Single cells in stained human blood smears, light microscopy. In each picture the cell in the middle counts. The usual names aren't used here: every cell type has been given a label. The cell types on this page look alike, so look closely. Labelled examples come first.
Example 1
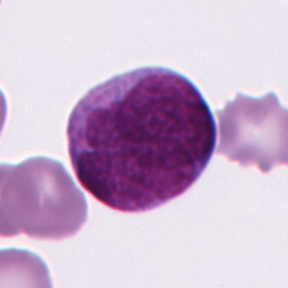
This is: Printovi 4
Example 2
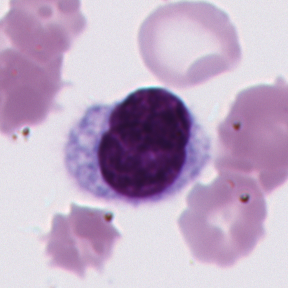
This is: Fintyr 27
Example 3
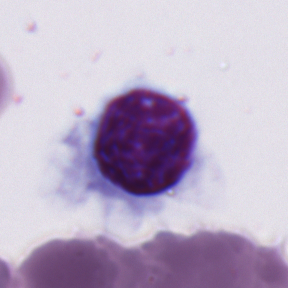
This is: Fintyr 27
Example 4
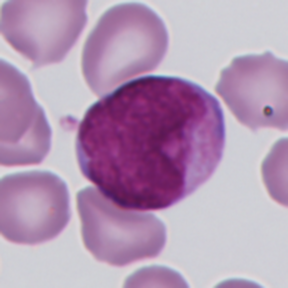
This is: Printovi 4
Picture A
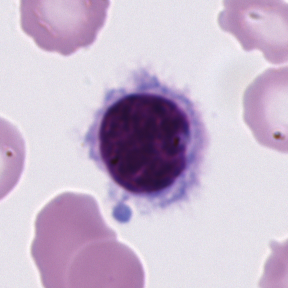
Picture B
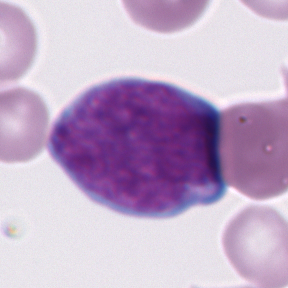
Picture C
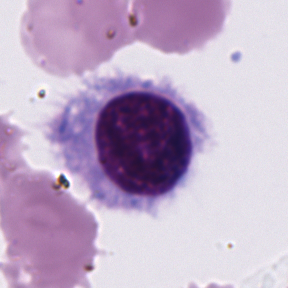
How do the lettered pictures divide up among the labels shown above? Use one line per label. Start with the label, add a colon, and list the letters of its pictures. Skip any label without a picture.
Printovi 4: B
Fintyr 27: A, C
